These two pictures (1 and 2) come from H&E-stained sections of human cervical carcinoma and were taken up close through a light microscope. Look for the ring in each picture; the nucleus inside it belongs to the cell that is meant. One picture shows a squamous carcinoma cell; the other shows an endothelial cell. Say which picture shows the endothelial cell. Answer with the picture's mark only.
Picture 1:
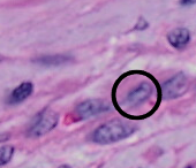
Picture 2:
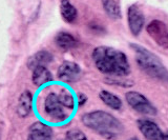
1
